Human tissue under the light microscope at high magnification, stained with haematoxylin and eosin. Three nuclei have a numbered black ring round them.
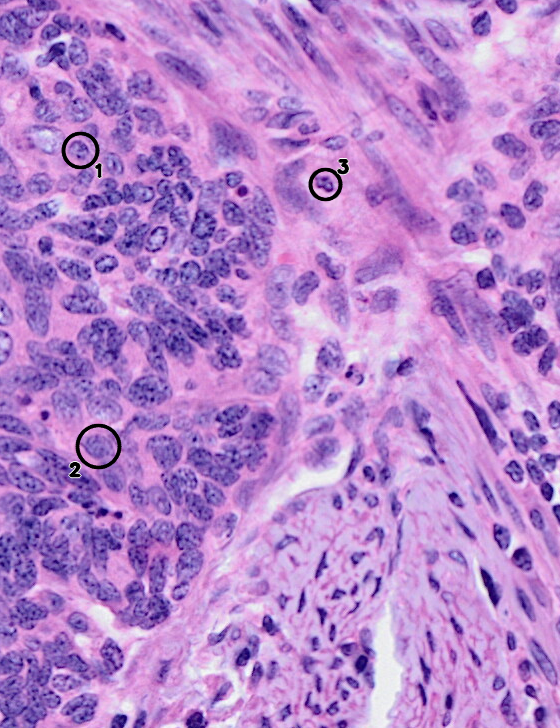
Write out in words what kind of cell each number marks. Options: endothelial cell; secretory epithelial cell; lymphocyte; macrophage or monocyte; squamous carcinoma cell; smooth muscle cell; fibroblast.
Cell 1 is a squamous carcinoma cell, cell 2 is a squamous carcinoma cell and cell 3 is a lymphocyte.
